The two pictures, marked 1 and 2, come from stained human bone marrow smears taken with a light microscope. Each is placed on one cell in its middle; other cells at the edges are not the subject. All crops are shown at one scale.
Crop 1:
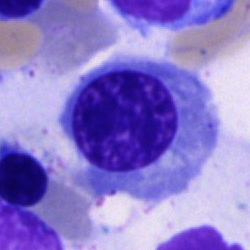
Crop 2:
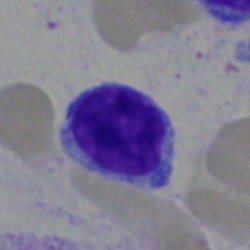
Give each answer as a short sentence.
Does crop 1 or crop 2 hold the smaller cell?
It is the cell in crop 2; the cell in crop 1 has about 2 times its area.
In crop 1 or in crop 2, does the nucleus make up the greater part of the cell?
It is the cell in crop 2 that is filled more by its nucleus.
